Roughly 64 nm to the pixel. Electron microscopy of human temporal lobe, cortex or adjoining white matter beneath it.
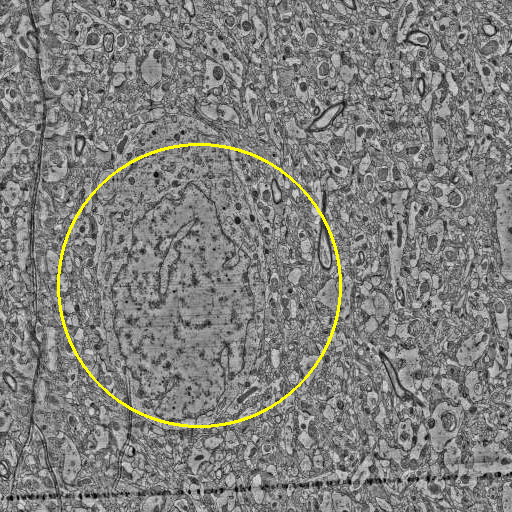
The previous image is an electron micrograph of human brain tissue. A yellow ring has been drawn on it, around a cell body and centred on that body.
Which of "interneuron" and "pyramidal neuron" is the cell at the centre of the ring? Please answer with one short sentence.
The cell body at the centre of the ring belongs to an interneuron.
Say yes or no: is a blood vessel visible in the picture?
No, the picture includes no blood vessel.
